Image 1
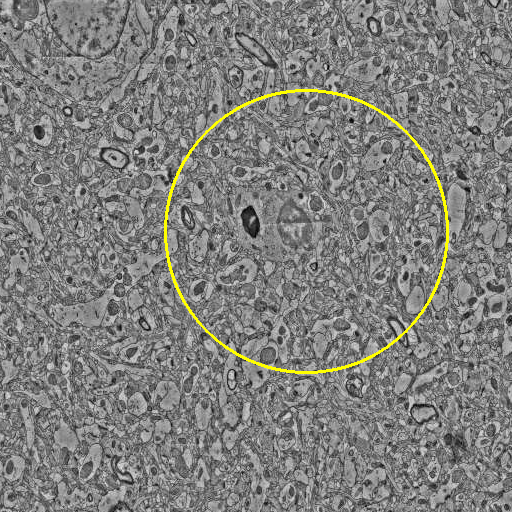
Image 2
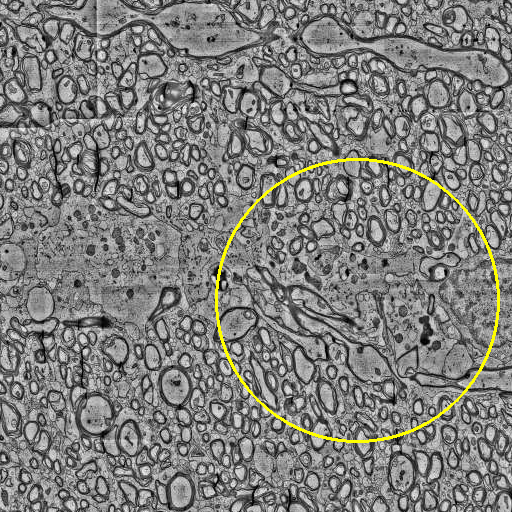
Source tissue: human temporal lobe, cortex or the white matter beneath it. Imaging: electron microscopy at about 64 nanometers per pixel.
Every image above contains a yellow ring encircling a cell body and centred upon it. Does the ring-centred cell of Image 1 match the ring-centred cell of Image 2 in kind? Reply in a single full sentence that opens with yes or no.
No, the cell at the ring's centre in Image 1 is a separate kind from that in Image 2.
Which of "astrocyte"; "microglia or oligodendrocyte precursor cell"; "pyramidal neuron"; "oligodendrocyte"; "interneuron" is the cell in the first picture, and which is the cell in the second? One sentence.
The two differ: the first cell is an oligodendrocyte and the second is a microglial cell or oligodendrocyte precursor cell.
